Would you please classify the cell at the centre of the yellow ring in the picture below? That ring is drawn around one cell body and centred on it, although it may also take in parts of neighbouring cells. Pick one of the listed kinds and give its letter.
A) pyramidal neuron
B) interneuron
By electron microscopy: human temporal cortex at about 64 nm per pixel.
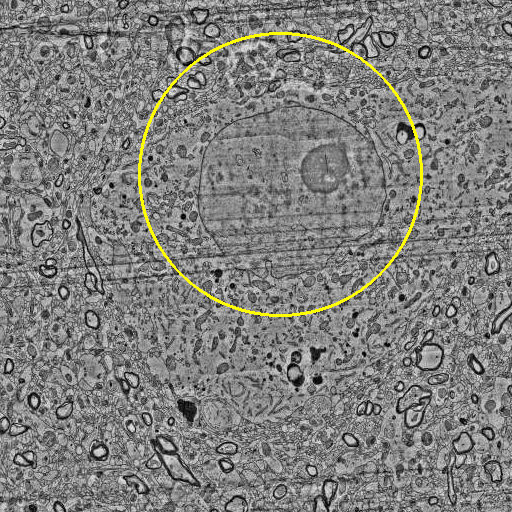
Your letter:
A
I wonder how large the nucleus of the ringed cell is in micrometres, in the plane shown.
In this plane, approximately 12 micrometres across.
